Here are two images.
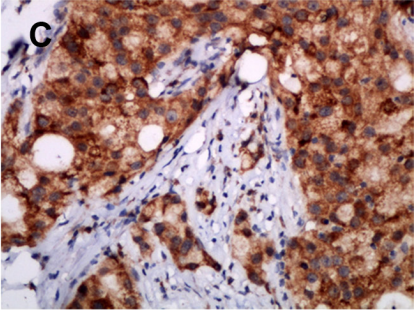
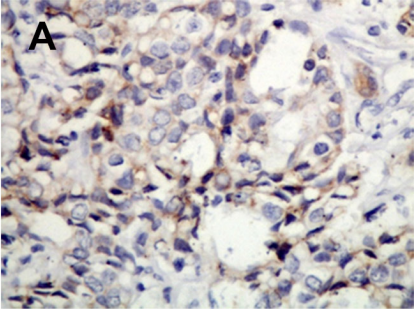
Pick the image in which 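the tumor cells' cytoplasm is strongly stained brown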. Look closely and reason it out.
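First image: cell bodies of the tumor nests are deep brown. Second image: cells are mostly pale with only faint brown traces. On this evidence: the first image.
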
